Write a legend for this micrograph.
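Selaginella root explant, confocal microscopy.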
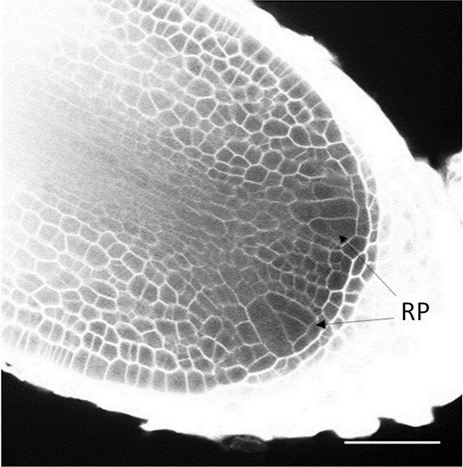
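A root tip in longitudinal optical section, with bright cell walls outlining a mesh of polygonal cells. Near the tip, the meristem has split into two regions. Layered cells of the root cap wrap around the tip as a bright outer band. Toward the flanks they line up in files, and the outermost cells form a neat row of narrow cells.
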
